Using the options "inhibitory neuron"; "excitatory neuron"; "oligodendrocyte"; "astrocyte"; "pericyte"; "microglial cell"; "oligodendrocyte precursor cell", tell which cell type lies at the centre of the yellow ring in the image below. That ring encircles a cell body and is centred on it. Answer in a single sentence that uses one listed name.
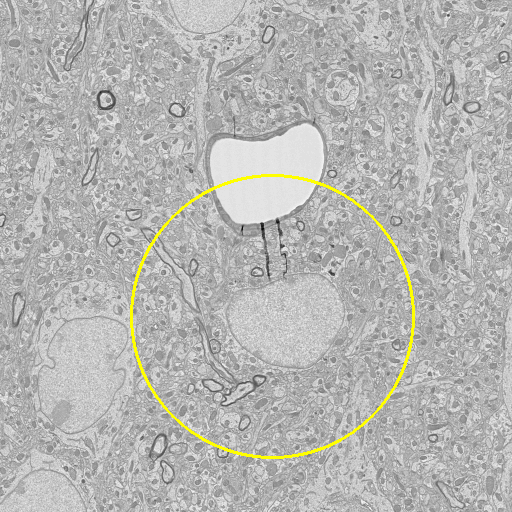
At the centre of the yellow ring lies the body of an astrocyte.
